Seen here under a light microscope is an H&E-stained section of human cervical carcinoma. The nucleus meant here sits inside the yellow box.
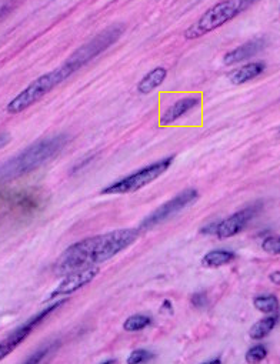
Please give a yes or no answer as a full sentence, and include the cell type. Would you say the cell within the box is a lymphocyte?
No, the cell within the box is classed as a smooth muscle cell, not as a lymphocyte.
